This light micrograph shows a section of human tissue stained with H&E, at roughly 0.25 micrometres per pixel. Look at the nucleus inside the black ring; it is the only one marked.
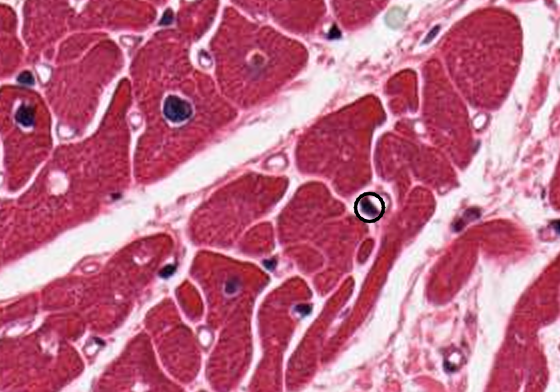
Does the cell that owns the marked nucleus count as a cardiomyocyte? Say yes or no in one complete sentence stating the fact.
No, the marked nucleus is not housed in a cardiomyocyte but in a supporting cell.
